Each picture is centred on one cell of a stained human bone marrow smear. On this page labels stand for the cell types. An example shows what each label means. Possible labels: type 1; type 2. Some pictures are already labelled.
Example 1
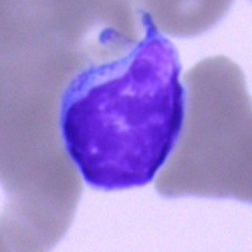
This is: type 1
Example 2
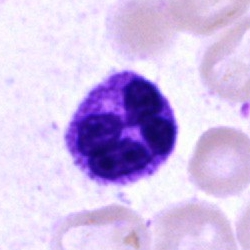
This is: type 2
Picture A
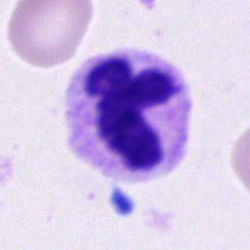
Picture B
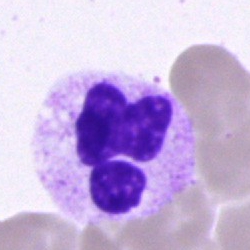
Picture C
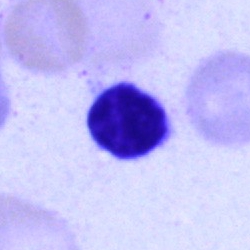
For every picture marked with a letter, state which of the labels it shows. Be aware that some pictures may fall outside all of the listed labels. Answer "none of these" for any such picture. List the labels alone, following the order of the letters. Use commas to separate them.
type 2, type 2, type 1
